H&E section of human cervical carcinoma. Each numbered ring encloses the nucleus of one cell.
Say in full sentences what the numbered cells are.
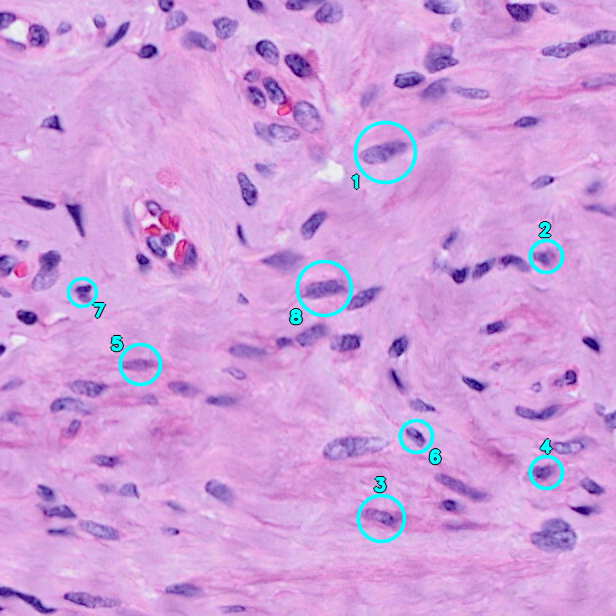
Cell 1 is a fibroblast, cell 2 is a fibroblast, cell 3 is a smooth muscle cell, cell 4 is a smooth muscle cell, cell 5 is a smooth muscle cell, cell 6 is a fibroblast, cell 7 is a fibroblast and cell 8 is a fibroblast.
